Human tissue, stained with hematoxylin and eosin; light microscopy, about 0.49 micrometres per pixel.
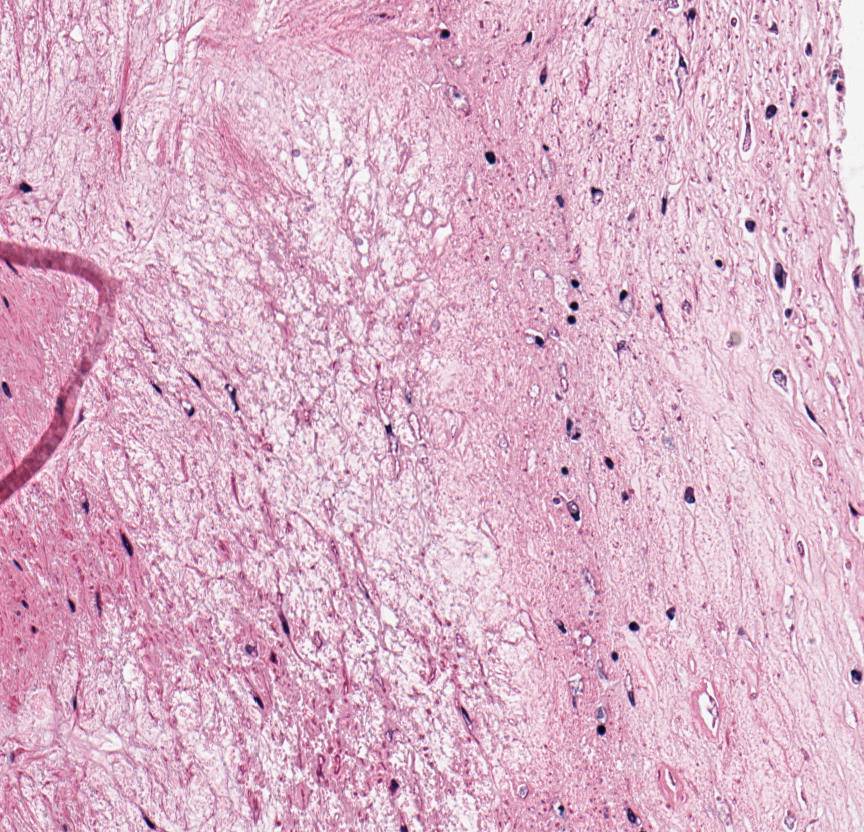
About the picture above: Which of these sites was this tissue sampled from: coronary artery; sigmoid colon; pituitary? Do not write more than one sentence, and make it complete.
The specimen on this slide came from the coronary artery.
